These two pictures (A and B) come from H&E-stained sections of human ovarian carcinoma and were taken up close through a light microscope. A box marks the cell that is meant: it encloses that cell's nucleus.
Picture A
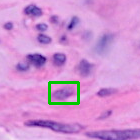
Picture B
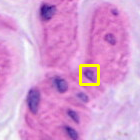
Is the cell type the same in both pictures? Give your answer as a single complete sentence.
Yes, the two pictures both show smooth muscle cells.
